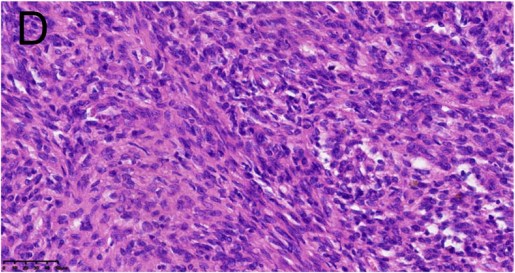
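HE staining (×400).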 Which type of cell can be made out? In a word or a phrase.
Short spindle-shaped tumor cells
